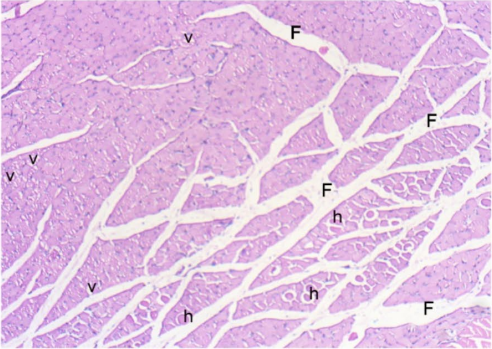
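Muscle fibers in cross section are crowded together with little space between single fibers, while broad pale bands of fibrosis run between groups of fibers. Fiber profiles are less regular than typical polygonal fibers.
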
